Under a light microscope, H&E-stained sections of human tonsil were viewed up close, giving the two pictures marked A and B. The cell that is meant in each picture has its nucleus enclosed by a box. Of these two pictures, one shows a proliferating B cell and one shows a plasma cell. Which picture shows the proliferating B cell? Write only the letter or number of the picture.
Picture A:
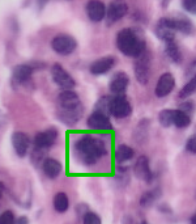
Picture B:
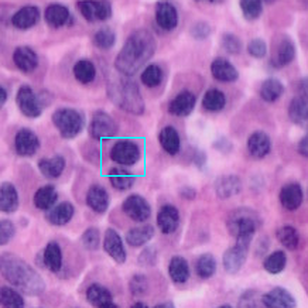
A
